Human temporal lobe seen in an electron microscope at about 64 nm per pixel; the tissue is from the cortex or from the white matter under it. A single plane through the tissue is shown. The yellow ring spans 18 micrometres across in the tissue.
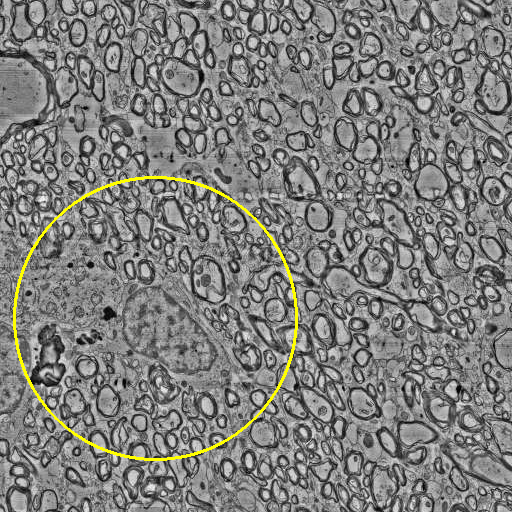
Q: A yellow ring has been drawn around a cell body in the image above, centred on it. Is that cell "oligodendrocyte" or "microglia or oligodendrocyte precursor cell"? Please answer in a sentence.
The ring surrounds the cell body of an oligodendrocyte.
